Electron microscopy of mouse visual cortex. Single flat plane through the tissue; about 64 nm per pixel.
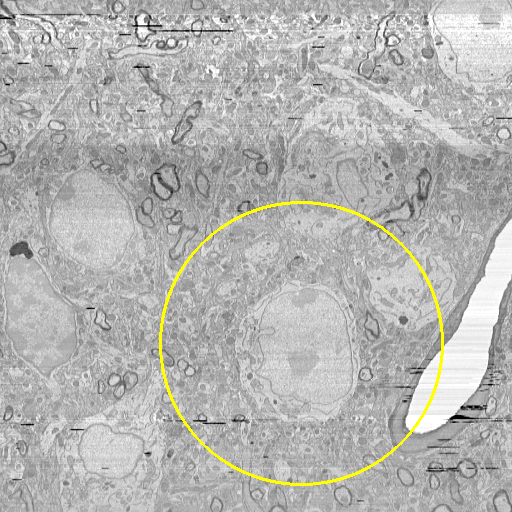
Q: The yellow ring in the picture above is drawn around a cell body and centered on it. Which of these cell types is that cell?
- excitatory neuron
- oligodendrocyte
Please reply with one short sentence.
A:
The cell body at the ring's center belongs to an excitatory neuron.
